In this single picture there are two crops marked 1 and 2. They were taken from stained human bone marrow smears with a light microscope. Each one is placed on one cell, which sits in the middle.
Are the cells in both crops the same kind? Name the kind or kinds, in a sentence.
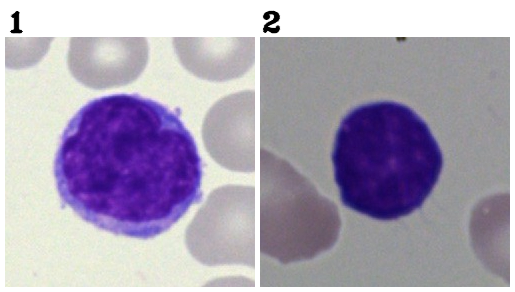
Yes, the two crops show blasts, both of them.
